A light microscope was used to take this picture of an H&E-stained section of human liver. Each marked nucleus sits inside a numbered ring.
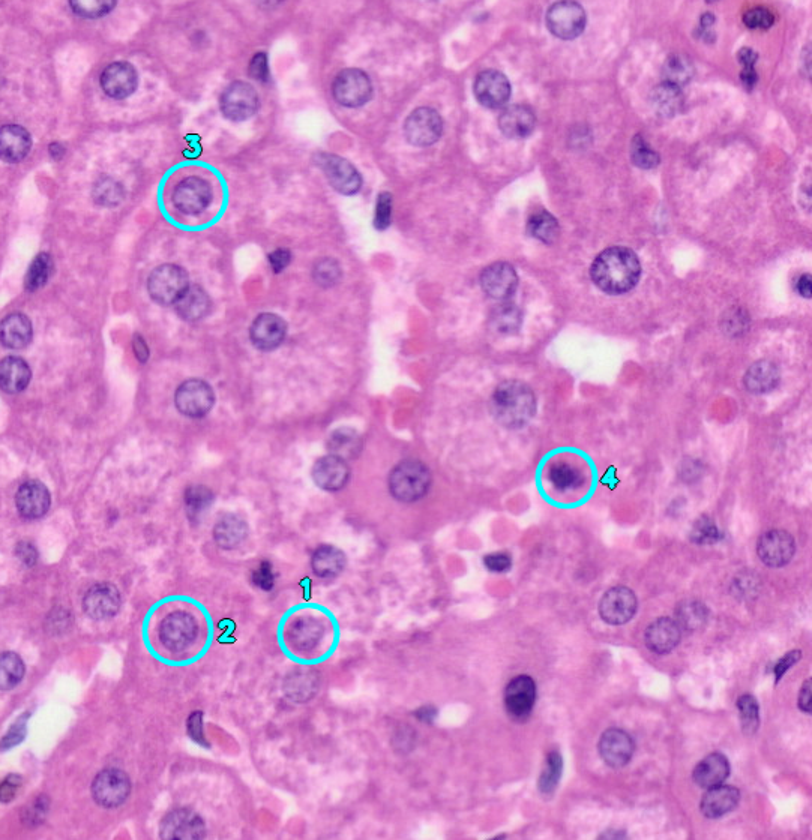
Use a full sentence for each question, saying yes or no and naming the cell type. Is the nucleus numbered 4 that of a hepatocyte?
No, the identification of cell 4 as a hepatocyte is incorrect; it is a fibroblast or stellate cell.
